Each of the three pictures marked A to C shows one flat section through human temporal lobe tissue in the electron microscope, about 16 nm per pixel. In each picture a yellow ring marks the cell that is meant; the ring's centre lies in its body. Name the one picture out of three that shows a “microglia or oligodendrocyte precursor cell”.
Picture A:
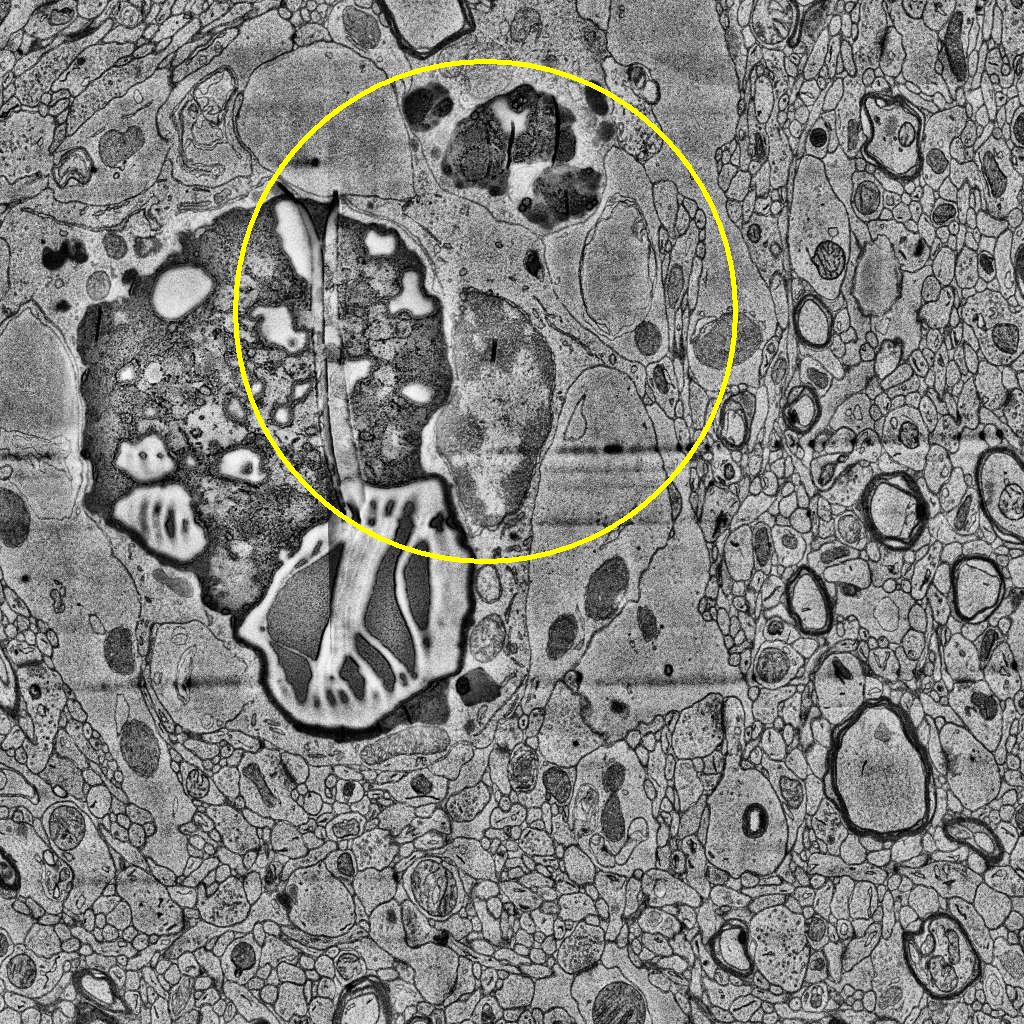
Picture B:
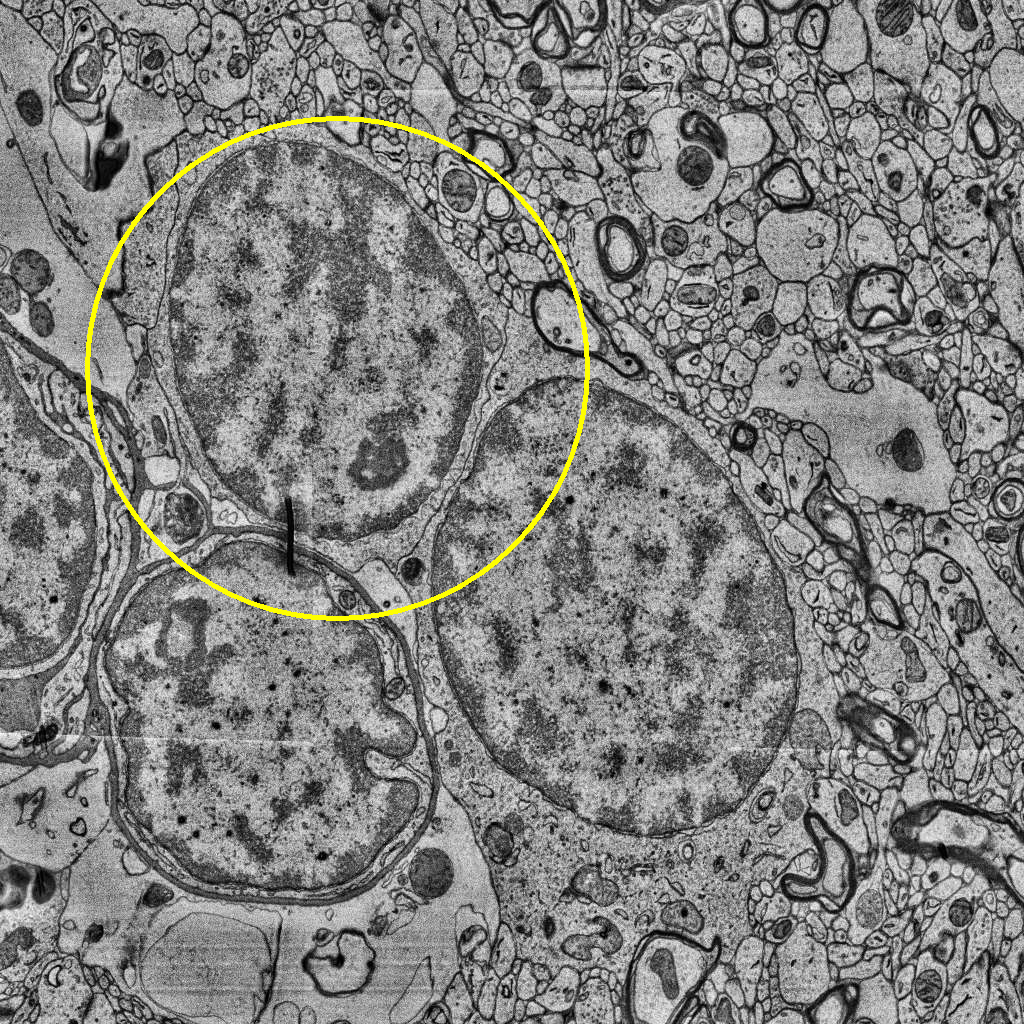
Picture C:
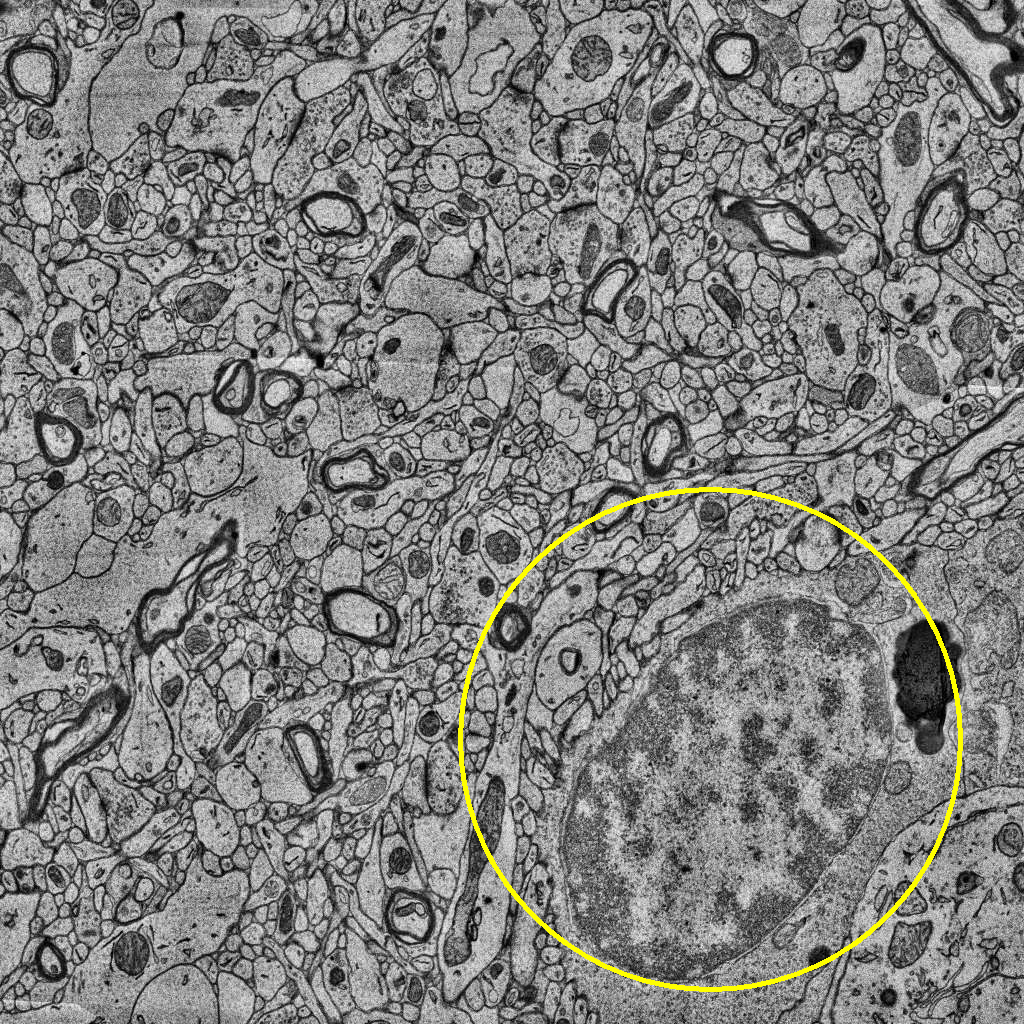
It is picture A that shows the “microglia or oligodendrocyte precursor cell”.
